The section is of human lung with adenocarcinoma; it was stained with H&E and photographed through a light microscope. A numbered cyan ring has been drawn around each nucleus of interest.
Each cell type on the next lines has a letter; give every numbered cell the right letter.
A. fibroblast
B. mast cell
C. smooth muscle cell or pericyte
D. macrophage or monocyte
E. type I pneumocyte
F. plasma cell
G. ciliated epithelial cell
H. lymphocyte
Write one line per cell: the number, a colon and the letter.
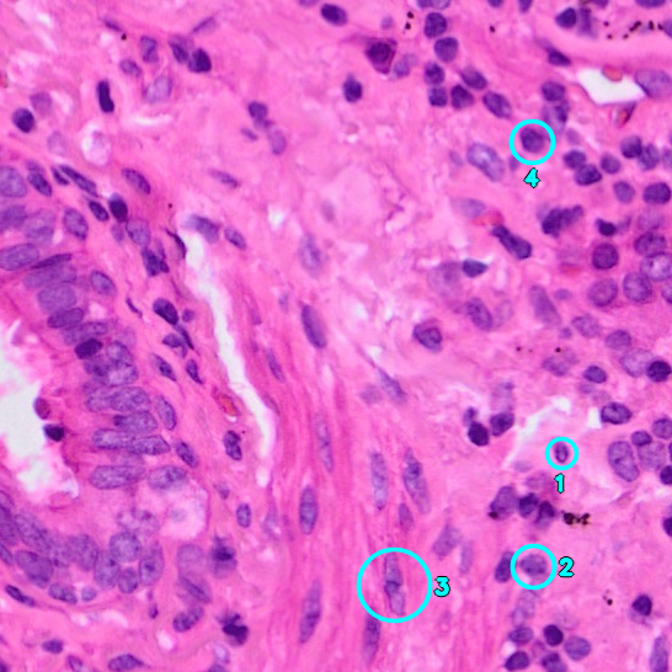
1: H
2: H
3: C
4: H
